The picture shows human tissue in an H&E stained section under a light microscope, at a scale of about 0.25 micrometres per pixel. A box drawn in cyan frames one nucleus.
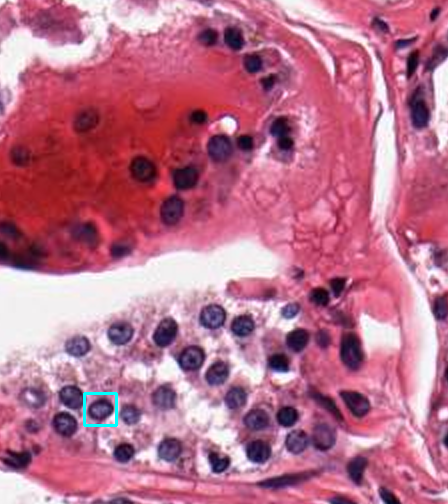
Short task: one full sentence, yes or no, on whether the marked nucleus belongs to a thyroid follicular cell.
Yes, the marked nucleus belongs to a thyroid follicular cell in this field.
